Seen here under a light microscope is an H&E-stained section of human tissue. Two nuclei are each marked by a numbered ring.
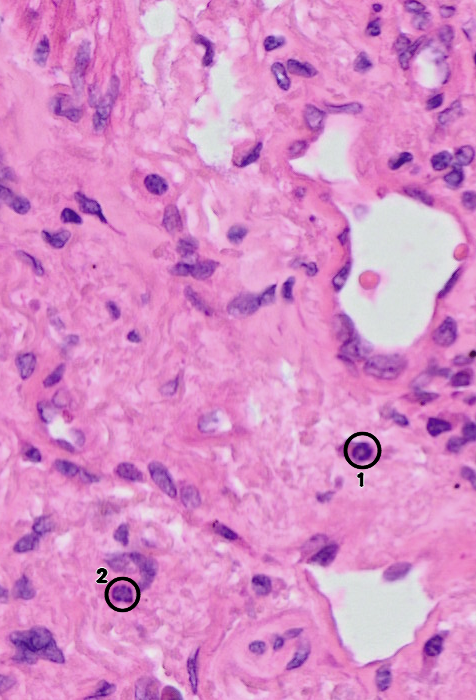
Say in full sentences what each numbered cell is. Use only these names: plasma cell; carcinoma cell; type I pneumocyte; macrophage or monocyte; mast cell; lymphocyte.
Cell 1 is a plasma cell and cell 2 is a mast cell.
